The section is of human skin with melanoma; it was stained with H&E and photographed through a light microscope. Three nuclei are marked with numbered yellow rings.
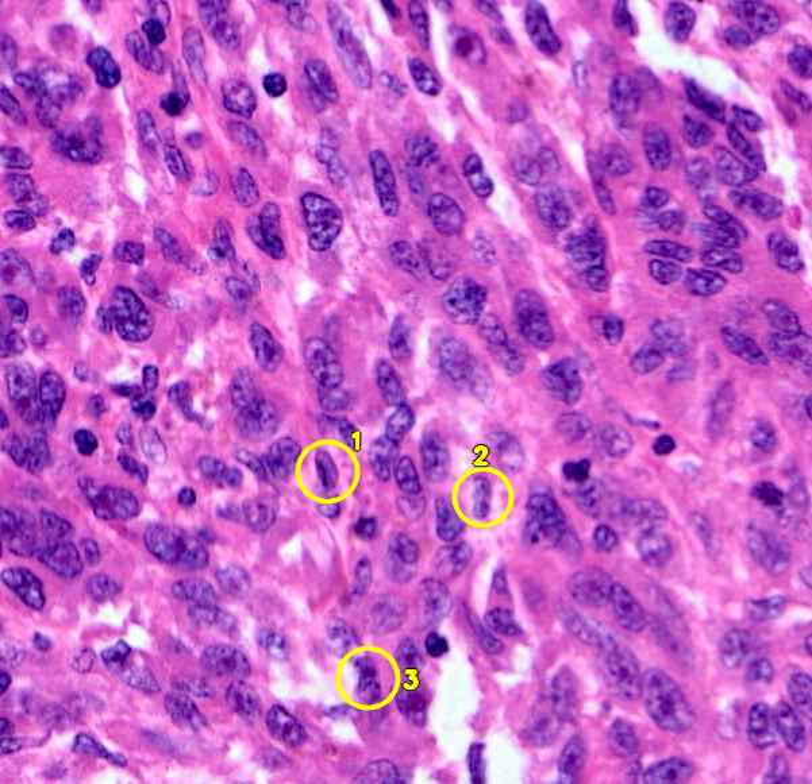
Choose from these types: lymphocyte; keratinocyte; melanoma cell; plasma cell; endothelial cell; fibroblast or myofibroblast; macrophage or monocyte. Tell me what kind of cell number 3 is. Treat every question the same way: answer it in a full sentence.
The one labeled 3 is a melanoma cell, to put it simply.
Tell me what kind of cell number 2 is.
Cell 2 in the field of view is a macrophage or monocyte.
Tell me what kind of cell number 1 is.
The cell that bears the number 1 is a macrophage or monocyte.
